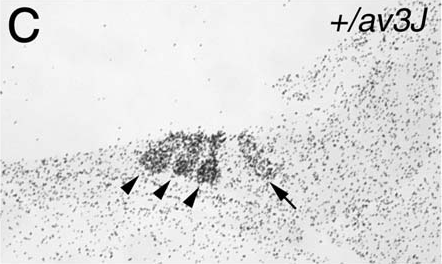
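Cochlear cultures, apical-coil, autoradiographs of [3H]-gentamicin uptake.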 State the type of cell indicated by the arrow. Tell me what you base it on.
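A single labelled cluster stands apart from the row of three. It lies on the other side of a gap from the three-row group.
Hence: inner hair cells.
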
